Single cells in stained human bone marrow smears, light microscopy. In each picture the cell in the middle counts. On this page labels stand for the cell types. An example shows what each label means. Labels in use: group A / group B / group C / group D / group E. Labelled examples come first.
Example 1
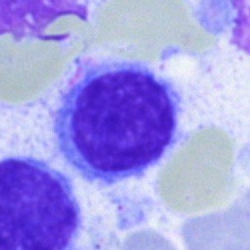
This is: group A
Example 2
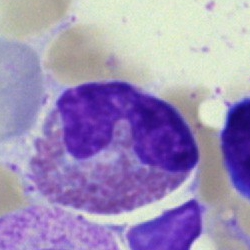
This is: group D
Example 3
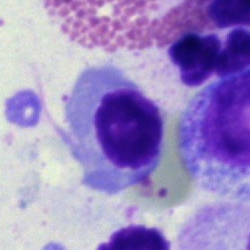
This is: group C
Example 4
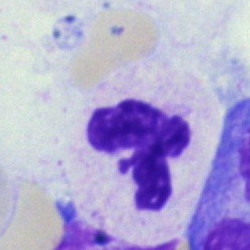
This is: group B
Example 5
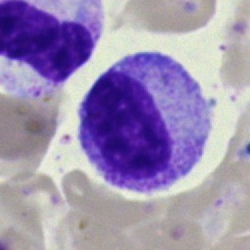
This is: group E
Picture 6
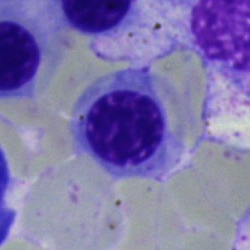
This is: group C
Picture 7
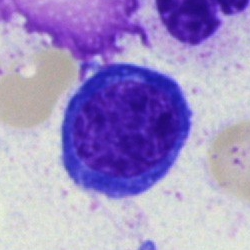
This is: group C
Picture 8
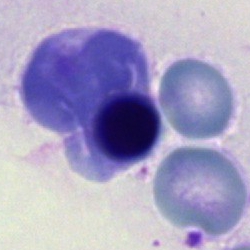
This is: group C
